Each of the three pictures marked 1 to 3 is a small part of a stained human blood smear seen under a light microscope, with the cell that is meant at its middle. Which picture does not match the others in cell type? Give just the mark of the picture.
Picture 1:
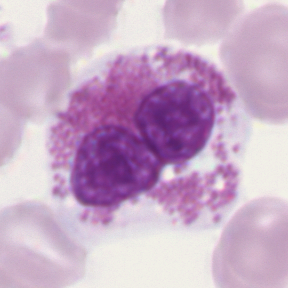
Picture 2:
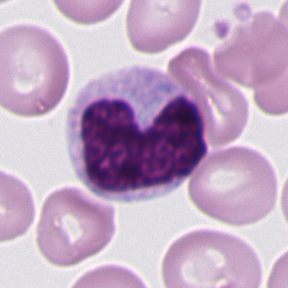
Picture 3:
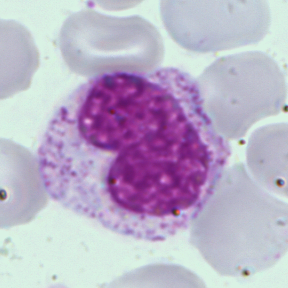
1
